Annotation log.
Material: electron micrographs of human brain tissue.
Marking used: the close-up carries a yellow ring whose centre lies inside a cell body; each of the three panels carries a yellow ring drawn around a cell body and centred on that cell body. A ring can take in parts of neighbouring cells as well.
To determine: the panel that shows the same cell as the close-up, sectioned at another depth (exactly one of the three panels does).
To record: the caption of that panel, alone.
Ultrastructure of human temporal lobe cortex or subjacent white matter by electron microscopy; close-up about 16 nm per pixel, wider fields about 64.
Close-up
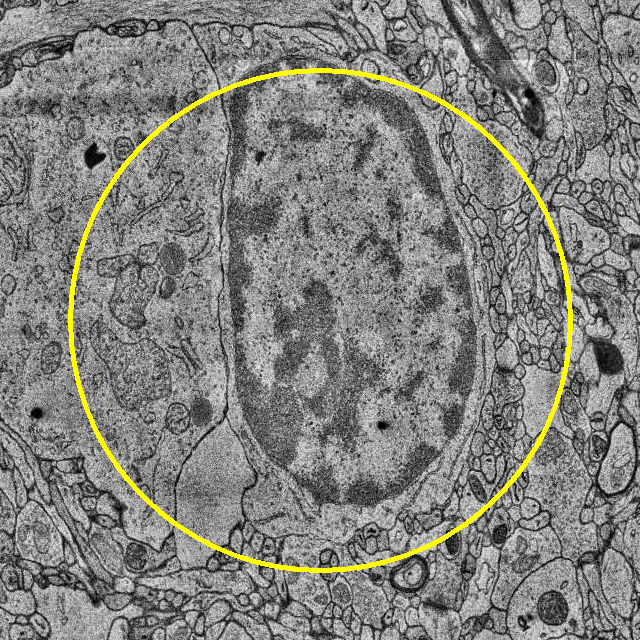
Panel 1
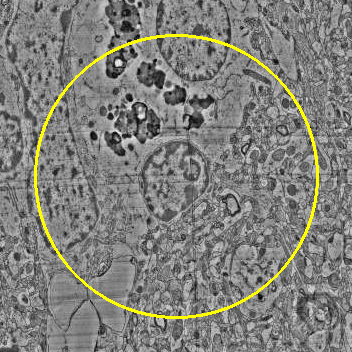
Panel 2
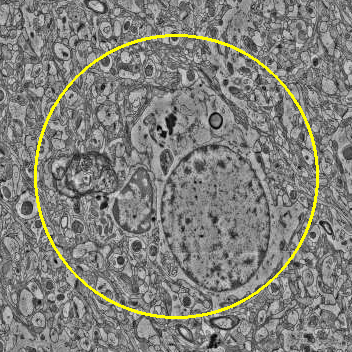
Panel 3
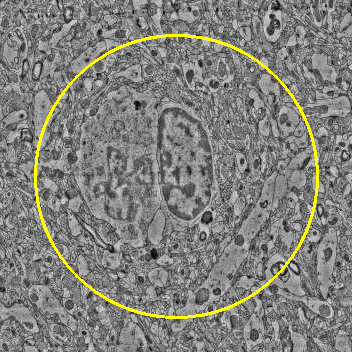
Panel 3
